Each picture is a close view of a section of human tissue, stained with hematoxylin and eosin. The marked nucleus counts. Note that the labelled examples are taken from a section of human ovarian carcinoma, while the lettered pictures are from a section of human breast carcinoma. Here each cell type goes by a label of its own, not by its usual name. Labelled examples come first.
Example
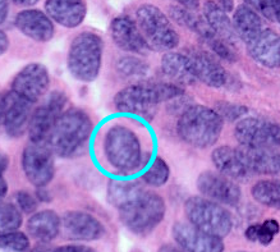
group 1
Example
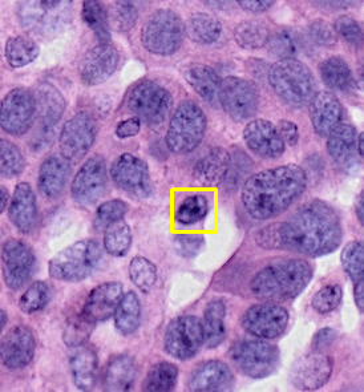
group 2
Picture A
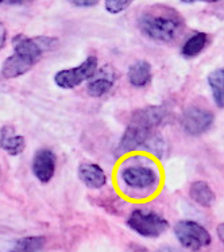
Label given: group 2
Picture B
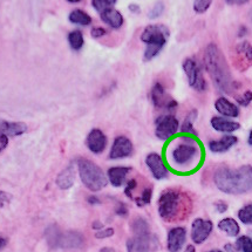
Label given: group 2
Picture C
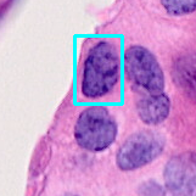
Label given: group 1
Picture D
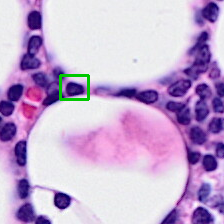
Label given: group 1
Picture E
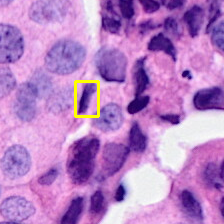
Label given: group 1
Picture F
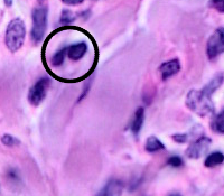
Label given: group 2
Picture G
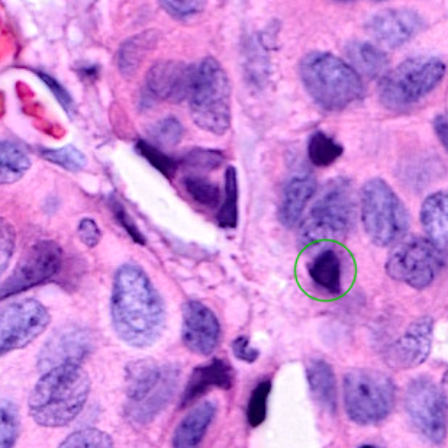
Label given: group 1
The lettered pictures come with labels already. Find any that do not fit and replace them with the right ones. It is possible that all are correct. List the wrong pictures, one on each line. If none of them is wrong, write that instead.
D should be group 2, not group 1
